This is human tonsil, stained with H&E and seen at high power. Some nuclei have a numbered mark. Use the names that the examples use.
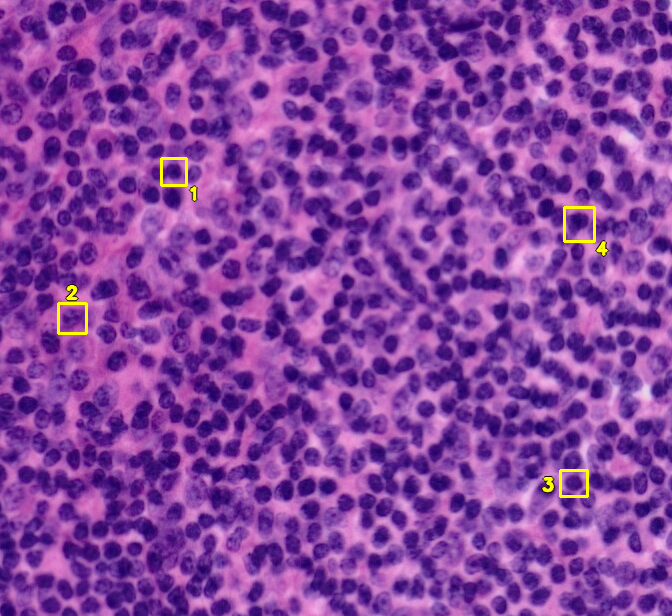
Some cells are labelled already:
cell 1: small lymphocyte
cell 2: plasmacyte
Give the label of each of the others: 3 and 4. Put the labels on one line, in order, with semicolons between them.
small lymphocyte; small lymphocyte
